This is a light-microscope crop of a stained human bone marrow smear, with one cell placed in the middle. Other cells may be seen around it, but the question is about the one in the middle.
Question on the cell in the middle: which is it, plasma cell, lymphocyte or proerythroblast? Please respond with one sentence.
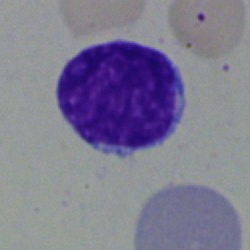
Positioned in the middle of the crop is a lymphocyte.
